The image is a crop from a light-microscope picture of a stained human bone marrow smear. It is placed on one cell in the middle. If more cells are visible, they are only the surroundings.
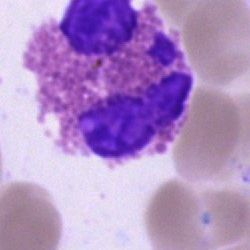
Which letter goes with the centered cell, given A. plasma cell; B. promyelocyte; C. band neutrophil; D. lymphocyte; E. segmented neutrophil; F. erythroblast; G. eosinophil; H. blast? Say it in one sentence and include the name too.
Of the options given, G is correct, the central cell being an eosinophil.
